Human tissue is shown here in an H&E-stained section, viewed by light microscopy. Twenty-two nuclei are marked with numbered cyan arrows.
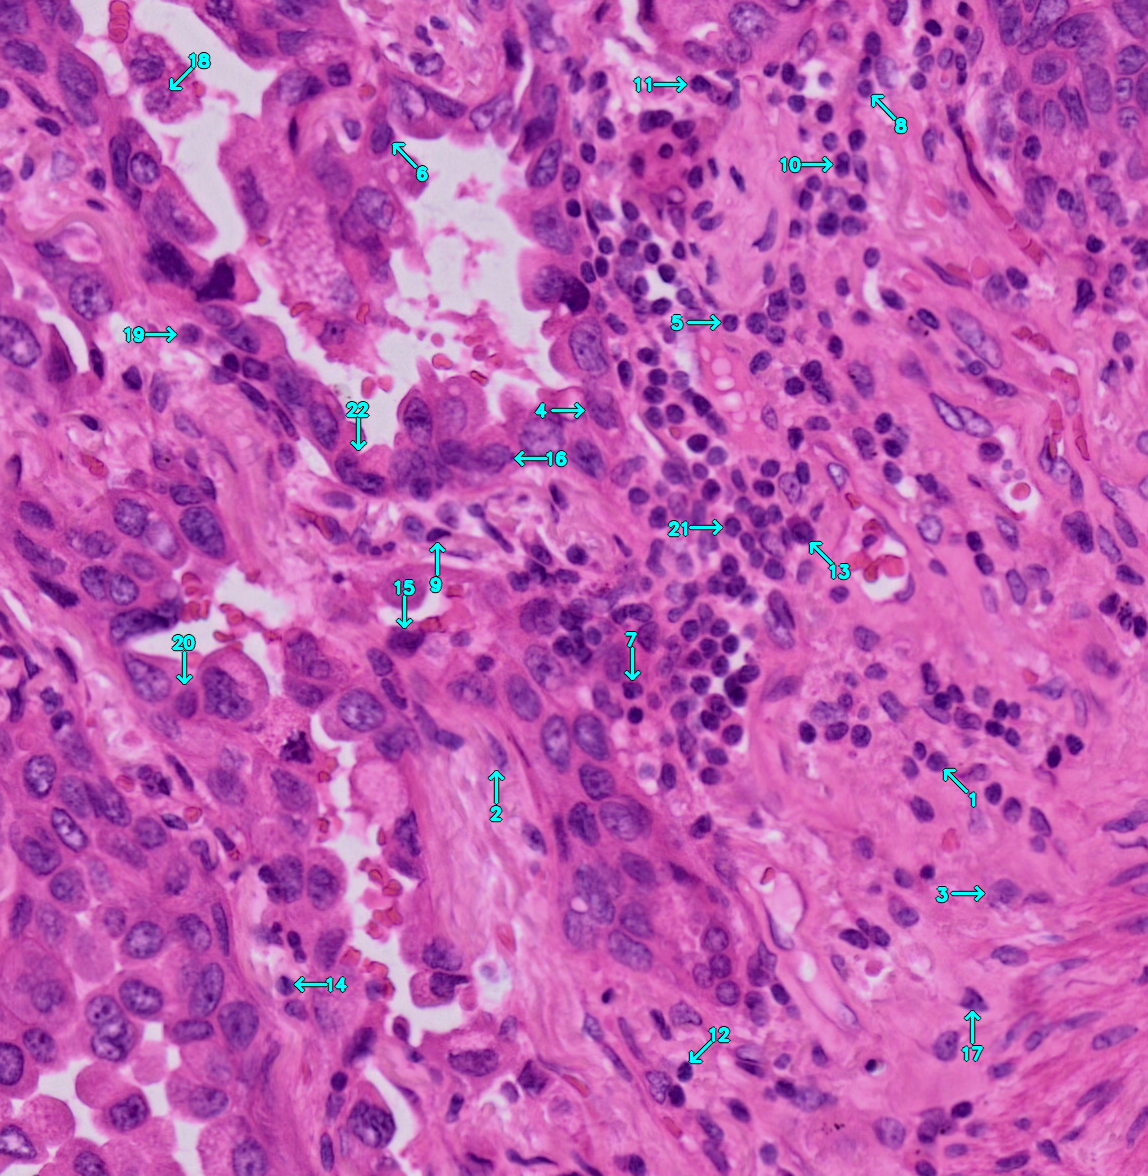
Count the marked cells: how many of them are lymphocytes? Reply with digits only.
10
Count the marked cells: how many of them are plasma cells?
2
